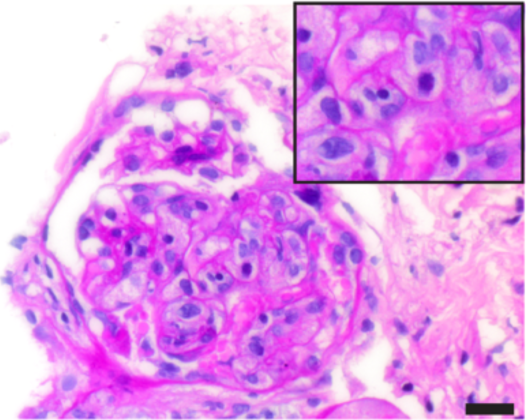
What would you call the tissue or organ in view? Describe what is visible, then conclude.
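A rounded tuft of capillary loops with magenta basement membranes. The tuft lies within a space lined by a capsule.
Answer: glomerulus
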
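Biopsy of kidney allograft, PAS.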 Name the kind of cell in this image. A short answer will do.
endocapillary foamy macrophages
